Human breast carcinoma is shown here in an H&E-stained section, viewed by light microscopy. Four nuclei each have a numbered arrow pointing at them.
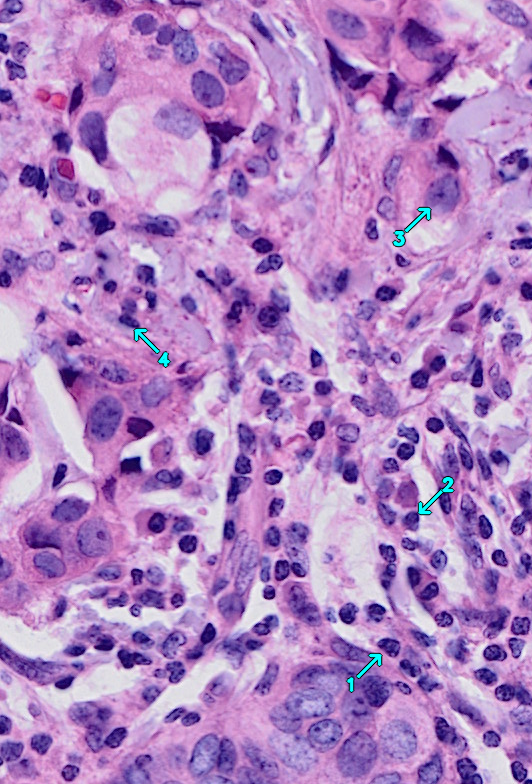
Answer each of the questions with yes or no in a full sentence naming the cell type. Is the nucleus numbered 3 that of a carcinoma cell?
Yes, the cell sitting at number 3 is a carcinoma cell.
